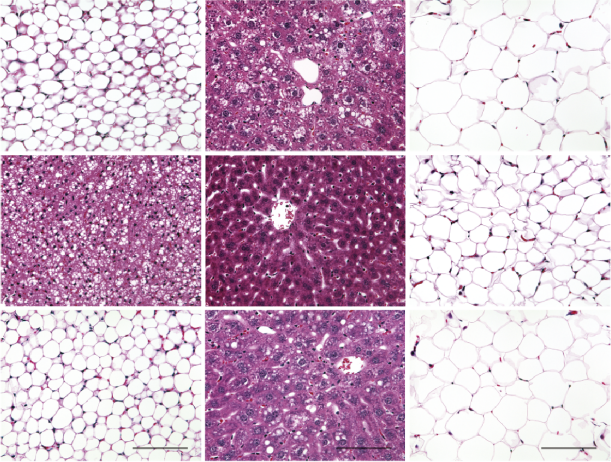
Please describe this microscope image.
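A grid of nine small hematoxylin and eosin sections, with brown fat in the left column, liver in the middle and white fat on the right. The brown fat consists of tightly packed adipocytes holding many clear lipid vacuoles, with small purple nuclei between them; in the middle row this tissue is denser and pinker, with smaller vacuoles and more visible nuclei. The liver shows plates of pink hepatocytes with round purple nuclei around a central vein; in the top row their cytoplasm is pale and vacuolated, while in the middle row it is compact and deeply pink. The white fat shows large empty adipocytes with thin pink rims, noticeably smaller in the middle row.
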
